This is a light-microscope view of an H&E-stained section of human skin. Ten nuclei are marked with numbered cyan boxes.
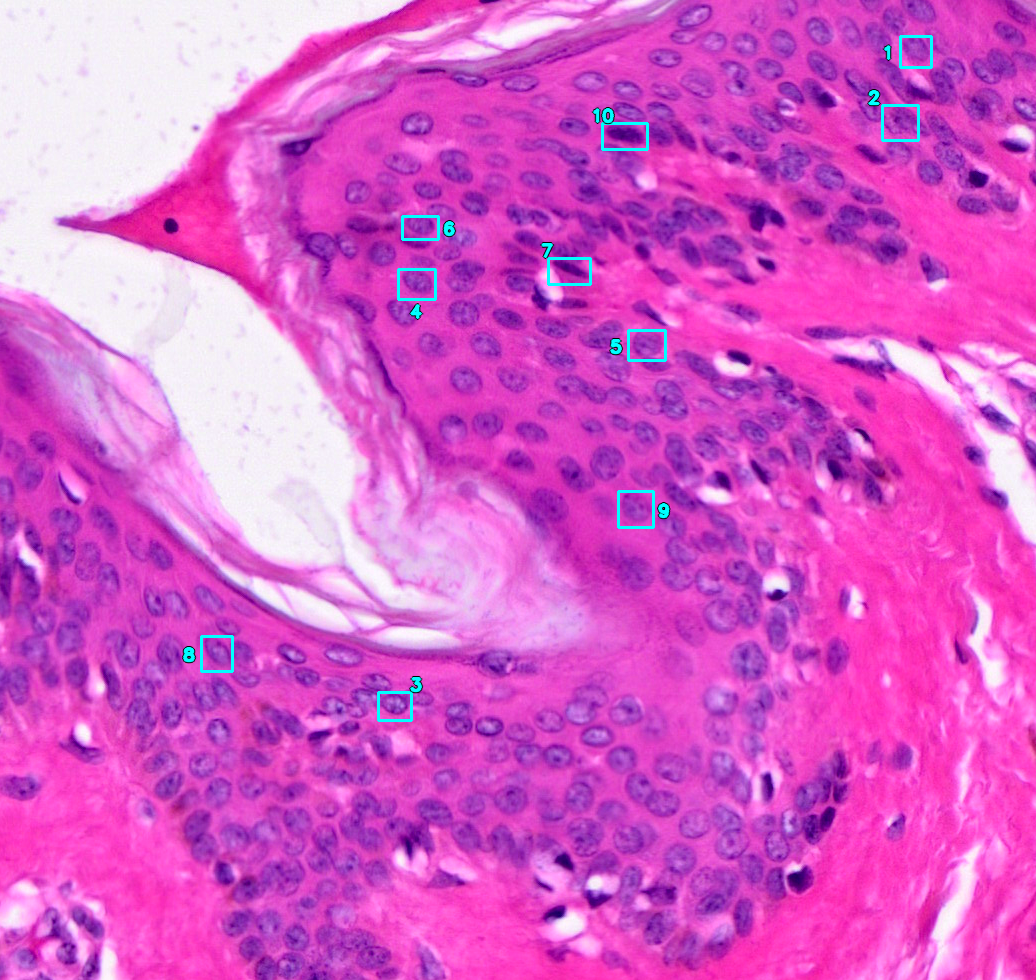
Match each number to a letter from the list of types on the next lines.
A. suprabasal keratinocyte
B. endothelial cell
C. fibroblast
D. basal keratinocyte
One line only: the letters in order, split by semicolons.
A; D; A; A; D; A; D; A; A; D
